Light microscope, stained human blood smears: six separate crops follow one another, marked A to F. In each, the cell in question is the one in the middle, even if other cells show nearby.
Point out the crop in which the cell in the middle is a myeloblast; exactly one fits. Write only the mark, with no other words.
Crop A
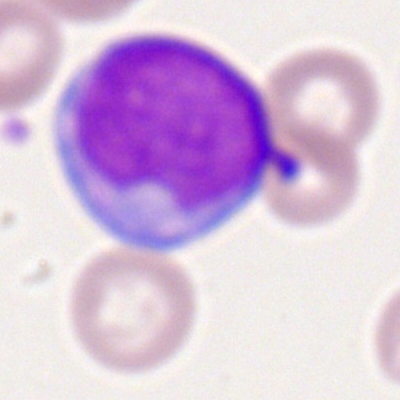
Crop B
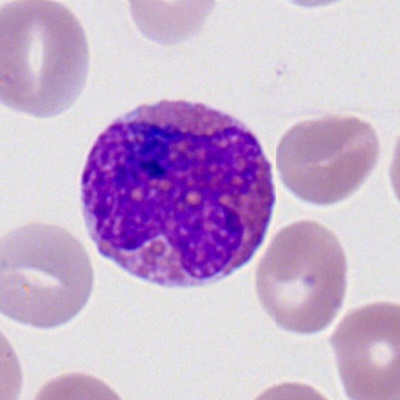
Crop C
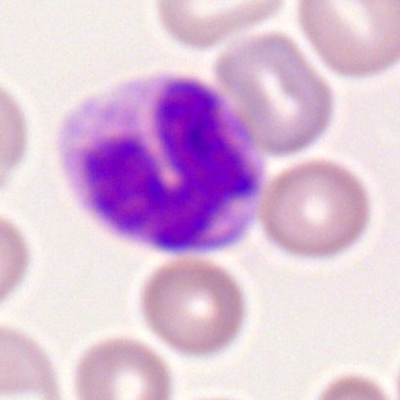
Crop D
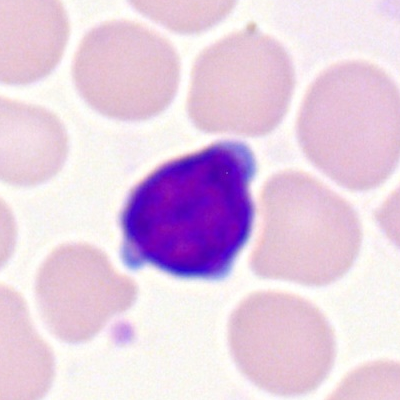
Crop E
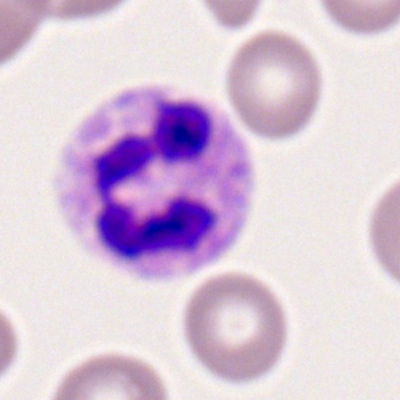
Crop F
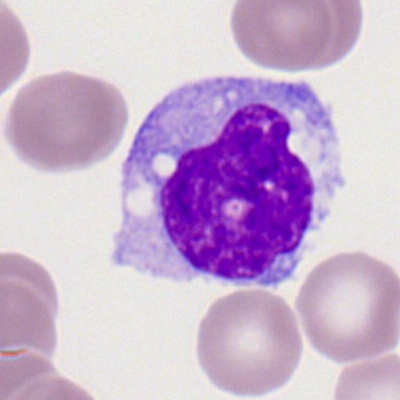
A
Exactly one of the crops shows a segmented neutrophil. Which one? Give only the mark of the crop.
E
